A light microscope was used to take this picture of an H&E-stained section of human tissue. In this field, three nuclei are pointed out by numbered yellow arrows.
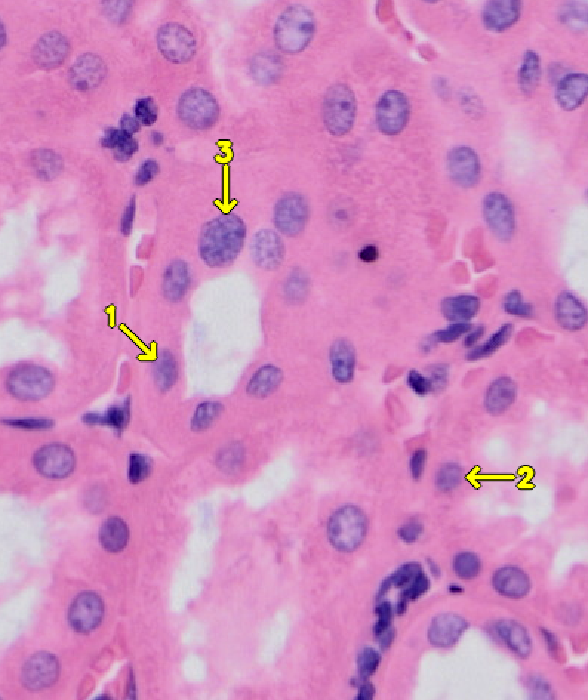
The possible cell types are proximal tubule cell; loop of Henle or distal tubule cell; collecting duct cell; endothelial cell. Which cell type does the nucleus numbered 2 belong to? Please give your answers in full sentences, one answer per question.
The cell numbered 2 has been identified as a proximal tubule cell.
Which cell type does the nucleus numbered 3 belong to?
Here, the cell given the number 3 is a loop of Henle or distal tubule cell.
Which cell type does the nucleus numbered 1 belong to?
The numbered cell 1 in this field is a loop of Henle or distal tubule cell.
